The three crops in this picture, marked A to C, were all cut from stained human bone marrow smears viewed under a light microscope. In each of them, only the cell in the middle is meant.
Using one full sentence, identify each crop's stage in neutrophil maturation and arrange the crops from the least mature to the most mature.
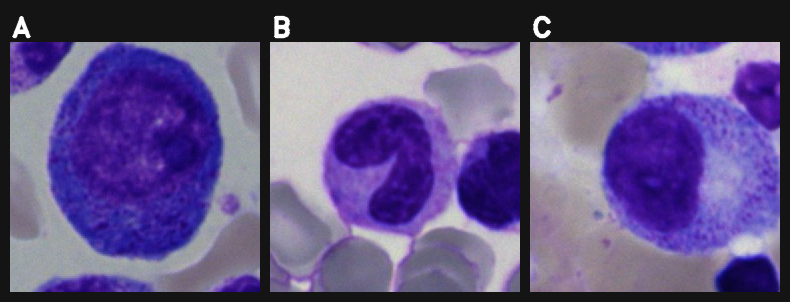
In rising order of maturity, the crops are crop A (a promyelocyte), crop C (a myelocyte) and crop B (a band neutrophil).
